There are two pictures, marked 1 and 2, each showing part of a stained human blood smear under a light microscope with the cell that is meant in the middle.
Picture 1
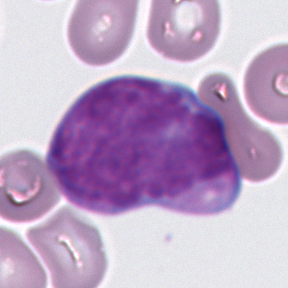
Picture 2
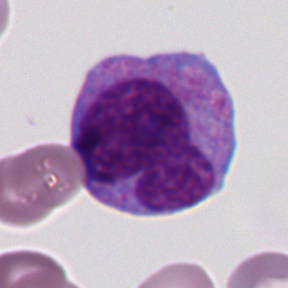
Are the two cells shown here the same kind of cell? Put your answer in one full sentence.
Yes, both are atypical promyelocytes.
